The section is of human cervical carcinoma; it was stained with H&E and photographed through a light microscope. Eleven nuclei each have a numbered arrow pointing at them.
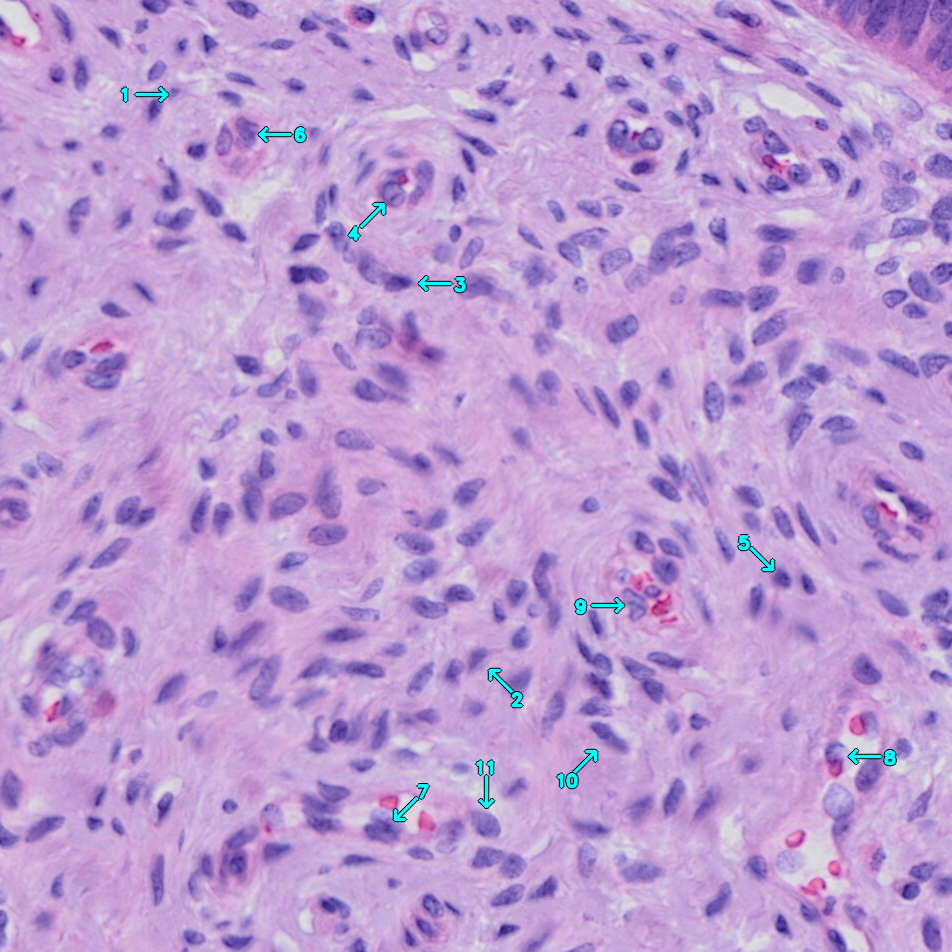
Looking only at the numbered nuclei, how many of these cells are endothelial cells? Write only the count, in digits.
5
